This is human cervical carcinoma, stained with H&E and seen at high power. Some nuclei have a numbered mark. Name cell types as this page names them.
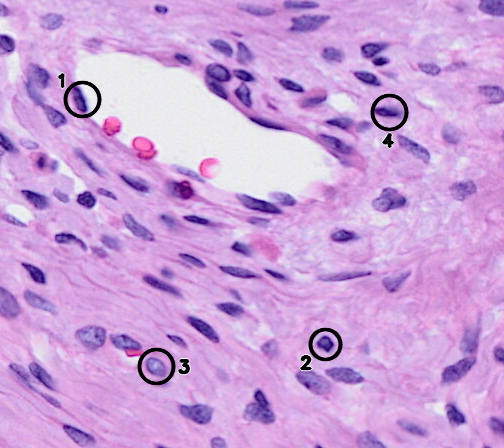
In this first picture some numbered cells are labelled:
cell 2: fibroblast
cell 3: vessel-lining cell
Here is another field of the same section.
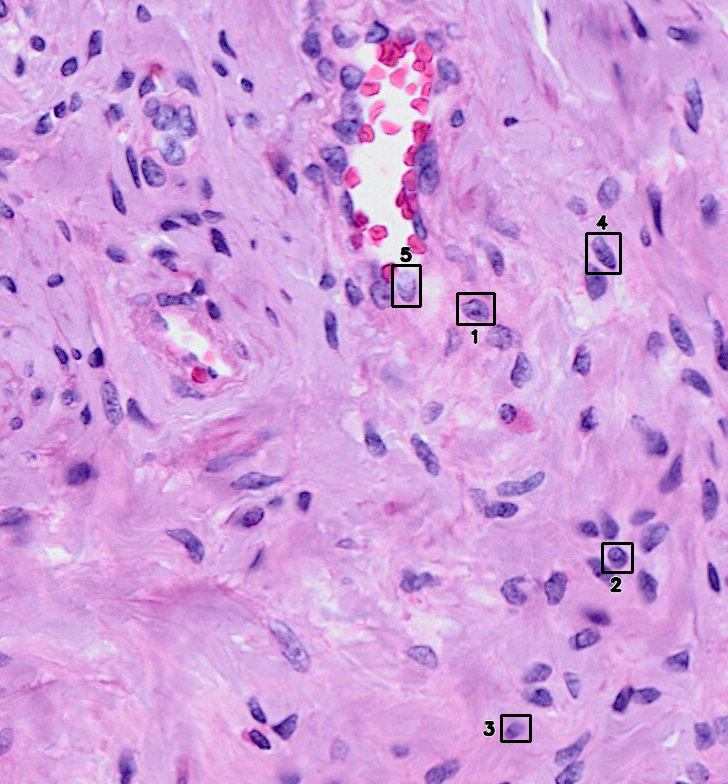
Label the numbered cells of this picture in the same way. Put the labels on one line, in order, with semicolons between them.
vessel-lining cell; fibroblast; fibroblast; fibroblast; vessel-lining cell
